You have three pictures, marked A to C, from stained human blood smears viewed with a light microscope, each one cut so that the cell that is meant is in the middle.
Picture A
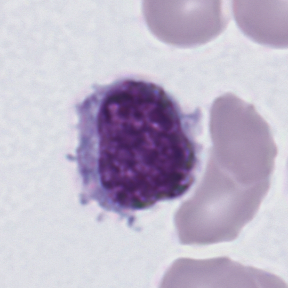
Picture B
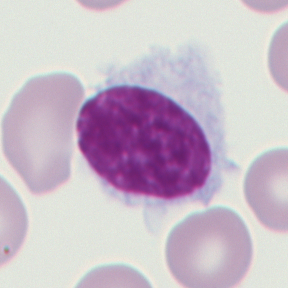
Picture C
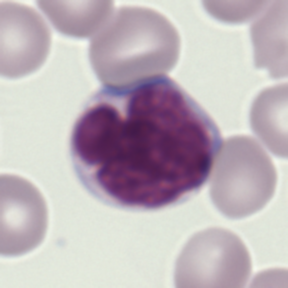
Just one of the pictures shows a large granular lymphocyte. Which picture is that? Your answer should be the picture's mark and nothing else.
C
